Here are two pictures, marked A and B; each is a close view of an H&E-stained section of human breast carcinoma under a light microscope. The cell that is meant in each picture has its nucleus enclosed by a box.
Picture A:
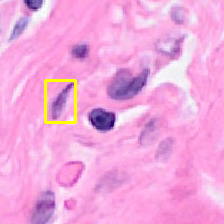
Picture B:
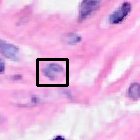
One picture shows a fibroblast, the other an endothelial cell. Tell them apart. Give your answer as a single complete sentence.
Picture A shows a fibroblast and picture B shows an endothelial cell.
